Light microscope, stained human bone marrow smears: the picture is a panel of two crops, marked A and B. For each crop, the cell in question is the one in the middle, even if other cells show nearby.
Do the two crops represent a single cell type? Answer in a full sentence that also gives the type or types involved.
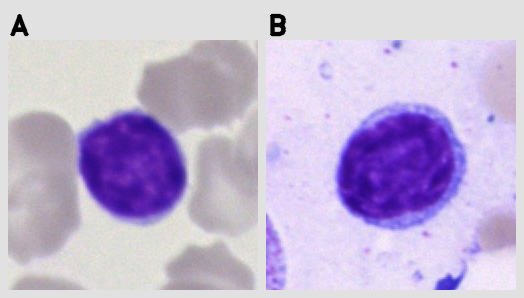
Yes, what both crops show is lymphocytes.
